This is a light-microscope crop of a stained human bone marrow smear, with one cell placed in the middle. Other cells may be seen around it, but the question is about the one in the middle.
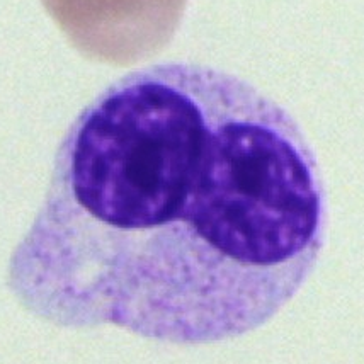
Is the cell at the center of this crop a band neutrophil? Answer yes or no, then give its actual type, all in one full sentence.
Yes, the cell positioned in the middle is a band neutrophil.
